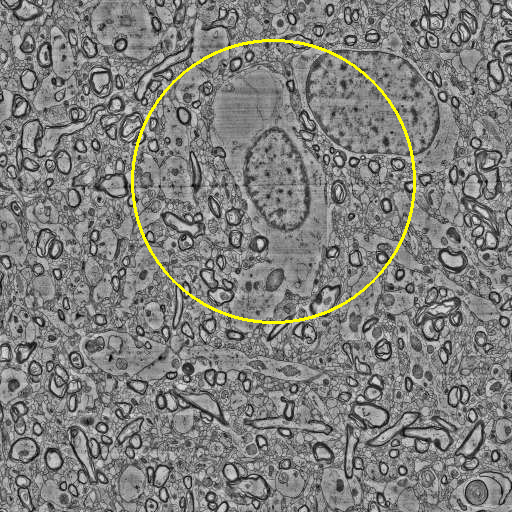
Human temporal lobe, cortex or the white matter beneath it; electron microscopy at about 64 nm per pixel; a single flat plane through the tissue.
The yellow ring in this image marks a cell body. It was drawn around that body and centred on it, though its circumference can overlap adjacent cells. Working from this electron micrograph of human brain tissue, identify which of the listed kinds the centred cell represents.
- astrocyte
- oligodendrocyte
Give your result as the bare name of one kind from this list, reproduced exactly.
astrocyte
